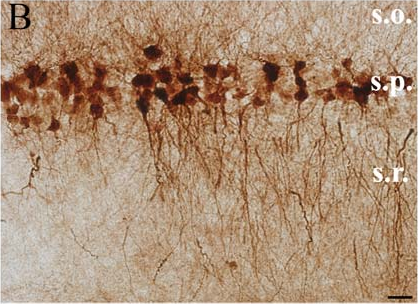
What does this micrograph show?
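This section shows a band of hippocampal pyramidal cells, many of them strongly stained dark brown. The stained cell bodies are triangular to oval and lie side by side in a compact layer a few cells deep. From the bottom of the layer long, straight apical dendrites run in parallel into the pale layer beneath, while shorter, finer processes branch into the layer above. Between the stained cells some paler, weakly stained bodies can be made out, and the background neuropil is light brown.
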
